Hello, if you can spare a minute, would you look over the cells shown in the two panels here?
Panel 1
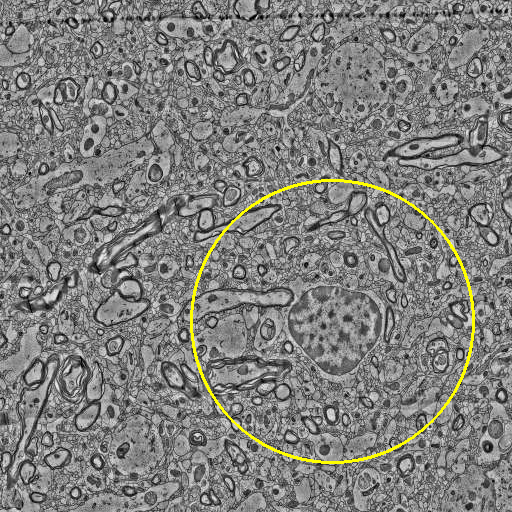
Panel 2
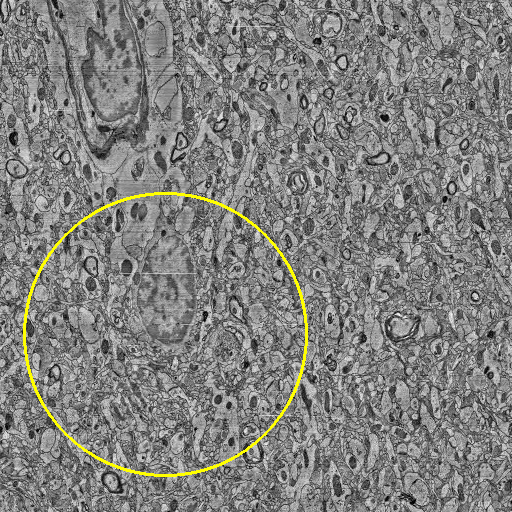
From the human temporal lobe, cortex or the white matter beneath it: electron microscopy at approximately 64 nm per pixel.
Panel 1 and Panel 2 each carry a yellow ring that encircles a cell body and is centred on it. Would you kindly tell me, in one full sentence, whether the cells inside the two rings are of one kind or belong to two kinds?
The cells at the centres of the rings in Panel 1 and Panel 2 belong to two kinds.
